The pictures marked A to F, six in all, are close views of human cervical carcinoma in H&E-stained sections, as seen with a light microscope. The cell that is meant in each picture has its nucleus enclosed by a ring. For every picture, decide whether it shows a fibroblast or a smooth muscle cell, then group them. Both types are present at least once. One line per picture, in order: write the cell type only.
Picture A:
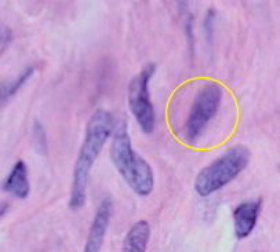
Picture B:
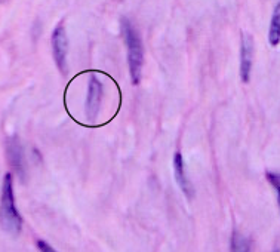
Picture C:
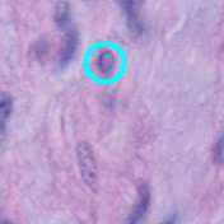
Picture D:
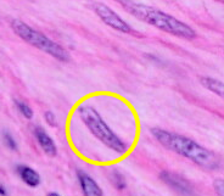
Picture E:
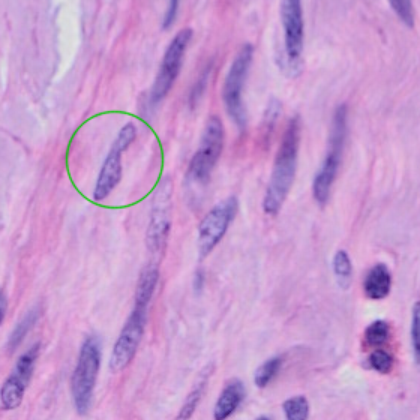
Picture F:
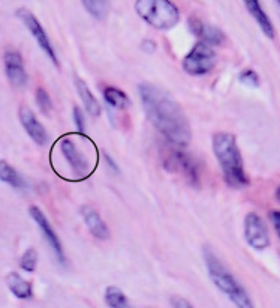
fibroblast
fibroblast
smooth muscle cell
smooth muscle cell
smooth muscle cell
smooth muscle cell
